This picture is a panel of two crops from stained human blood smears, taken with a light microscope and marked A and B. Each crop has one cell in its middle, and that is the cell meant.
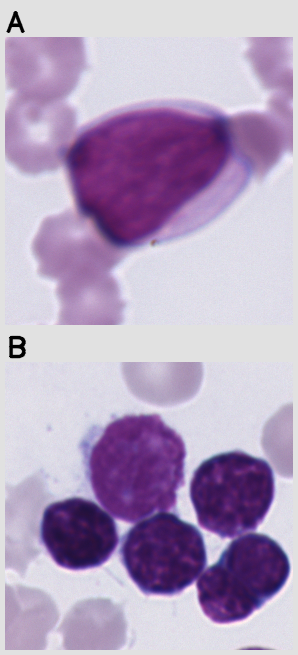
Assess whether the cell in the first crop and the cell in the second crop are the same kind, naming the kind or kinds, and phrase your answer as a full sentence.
Yes, both of the crops in this pair show myeloblasts, one cell in each crop.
